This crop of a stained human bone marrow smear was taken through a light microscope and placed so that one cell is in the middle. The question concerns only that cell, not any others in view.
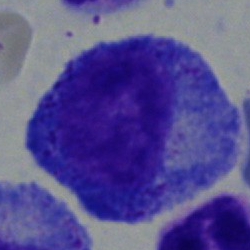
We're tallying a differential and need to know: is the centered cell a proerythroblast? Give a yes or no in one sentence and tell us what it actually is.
No, the centre of the crop contains a promyelocyte rather than a proerythroblast.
